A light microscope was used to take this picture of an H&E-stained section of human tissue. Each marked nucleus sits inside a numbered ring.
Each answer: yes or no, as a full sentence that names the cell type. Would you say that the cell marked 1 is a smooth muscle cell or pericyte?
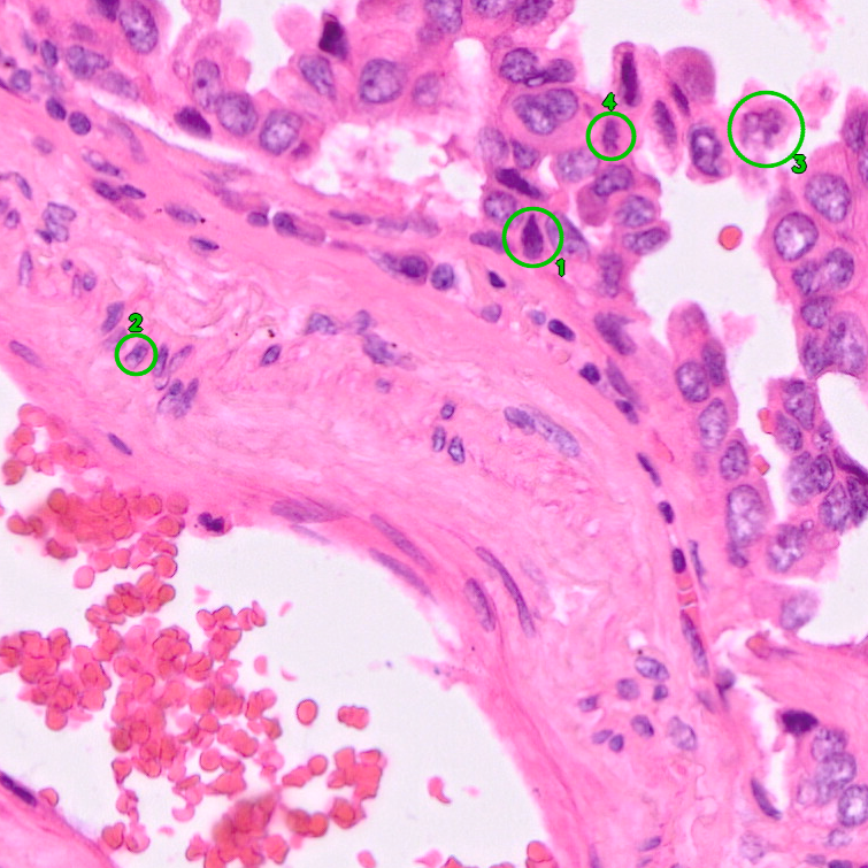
No, cell number 1 is identified as a carcinoma cell, not as a smooth muscle cell or pericyte.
